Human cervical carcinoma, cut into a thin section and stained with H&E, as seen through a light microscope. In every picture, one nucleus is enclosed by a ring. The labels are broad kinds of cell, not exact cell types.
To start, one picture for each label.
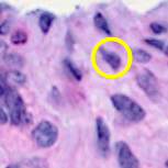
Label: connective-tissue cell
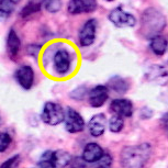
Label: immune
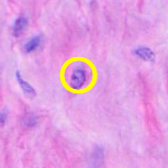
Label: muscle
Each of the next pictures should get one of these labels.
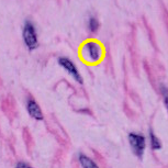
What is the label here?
muscle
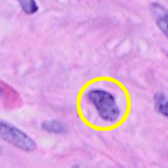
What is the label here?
connective-tissue cell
